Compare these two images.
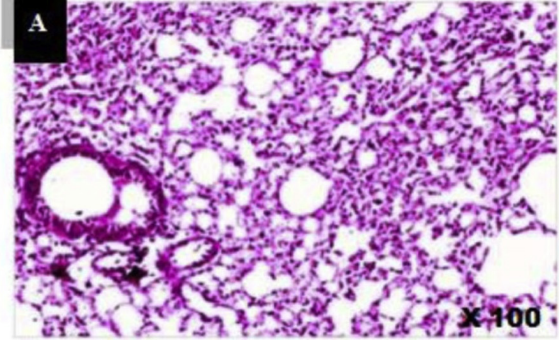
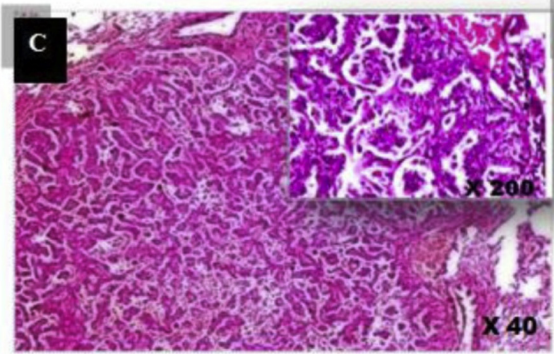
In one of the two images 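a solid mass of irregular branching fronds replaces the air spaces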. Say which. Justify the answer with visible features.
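Second image: a large dense mass of branching papillary fronds occupies most of the field. The answer: the second image.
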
